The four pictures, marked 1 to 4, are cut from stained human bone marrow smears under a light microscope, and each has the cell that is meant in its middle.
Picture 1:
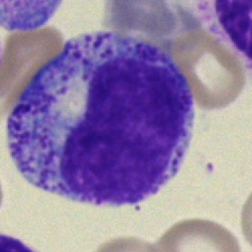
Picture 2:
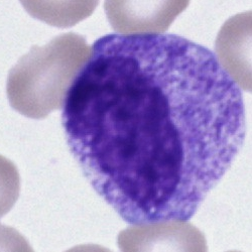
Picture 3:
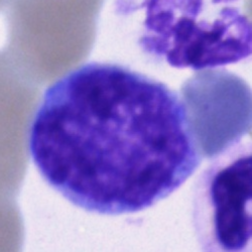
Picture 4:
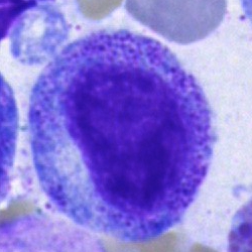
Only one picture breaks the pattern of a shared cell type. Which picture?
3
